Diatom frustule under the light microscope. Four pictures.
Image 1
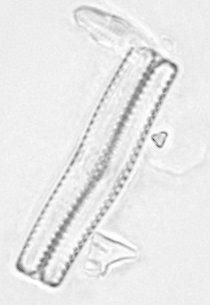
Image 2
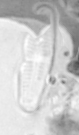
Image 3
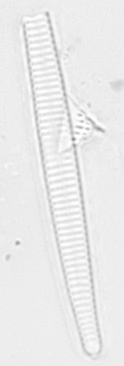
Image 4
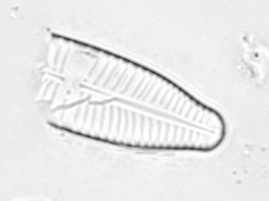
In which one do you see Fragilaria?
In picture 3.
